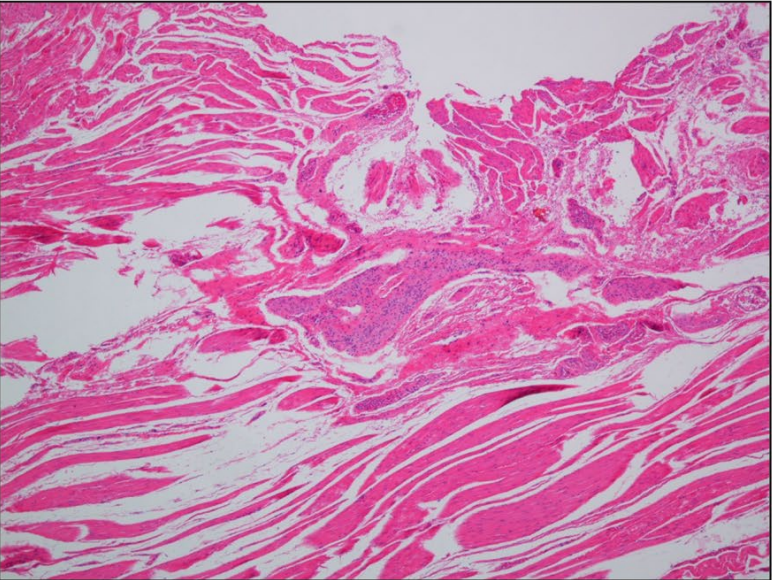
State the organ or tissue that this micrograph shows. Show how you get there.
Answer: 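Most of the field is bright pink elongated smooth muscle bundles. Muscle bundles run in two differing orientations above and below a central band. The answer: tunica muscularis propria.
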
